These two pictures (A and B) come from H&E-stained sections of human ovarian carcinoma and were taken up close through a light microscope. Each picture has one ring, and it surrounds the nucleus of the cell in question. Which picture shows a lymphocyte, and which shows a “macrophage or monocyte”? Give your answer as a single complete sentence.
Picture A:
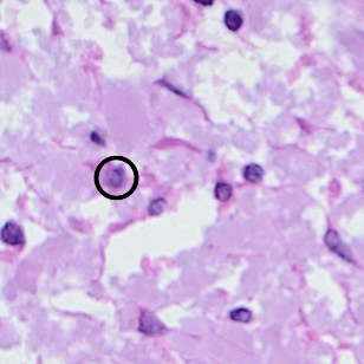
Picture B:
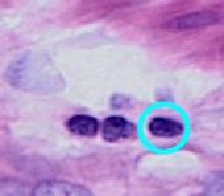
Picture B shows a lymphocyte, while picture A shows a “macrophage or monocyte”.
